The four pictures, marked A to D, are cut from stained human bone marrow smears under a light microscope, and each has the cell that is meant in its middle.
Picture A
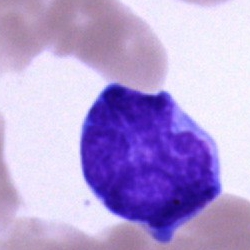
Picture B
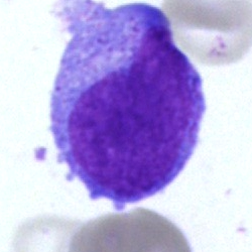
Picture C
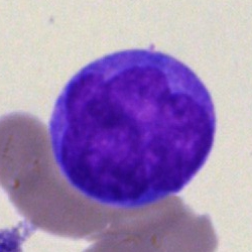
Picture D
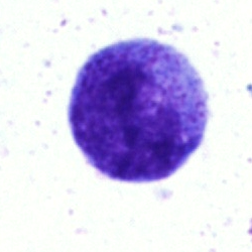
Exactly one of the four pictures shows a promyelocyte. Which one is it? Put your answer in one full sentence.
The promyelocyte is the one in picture D.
